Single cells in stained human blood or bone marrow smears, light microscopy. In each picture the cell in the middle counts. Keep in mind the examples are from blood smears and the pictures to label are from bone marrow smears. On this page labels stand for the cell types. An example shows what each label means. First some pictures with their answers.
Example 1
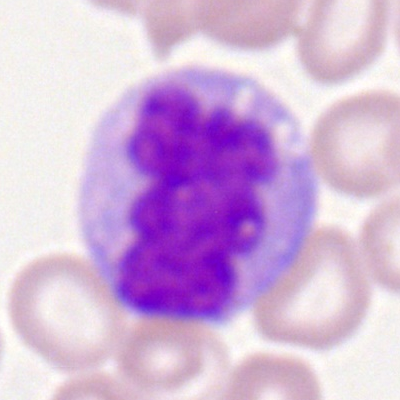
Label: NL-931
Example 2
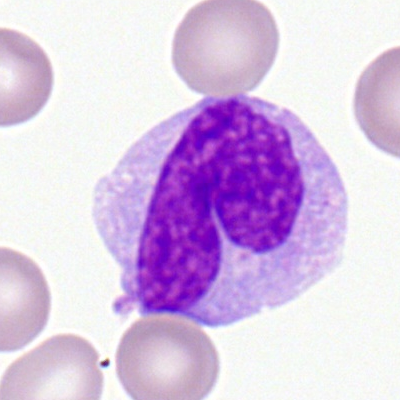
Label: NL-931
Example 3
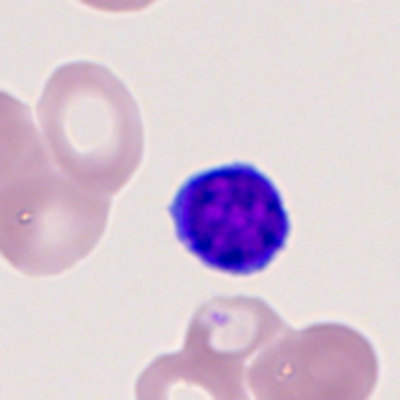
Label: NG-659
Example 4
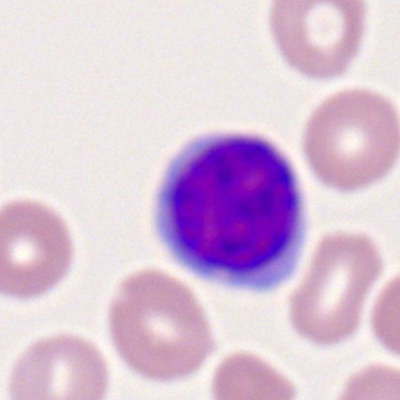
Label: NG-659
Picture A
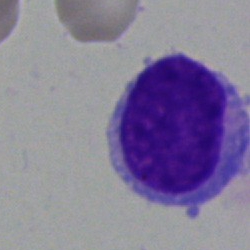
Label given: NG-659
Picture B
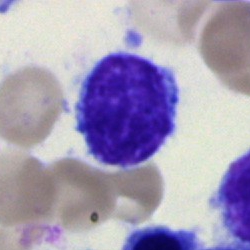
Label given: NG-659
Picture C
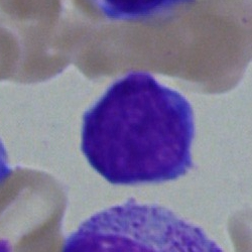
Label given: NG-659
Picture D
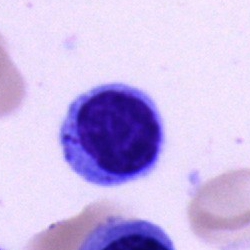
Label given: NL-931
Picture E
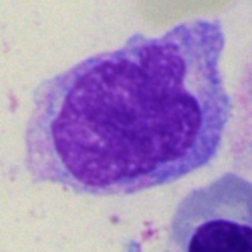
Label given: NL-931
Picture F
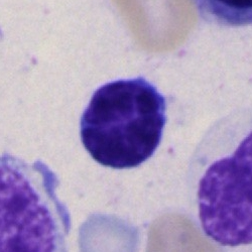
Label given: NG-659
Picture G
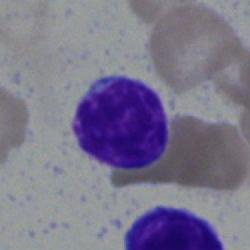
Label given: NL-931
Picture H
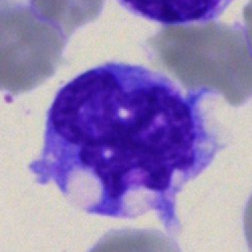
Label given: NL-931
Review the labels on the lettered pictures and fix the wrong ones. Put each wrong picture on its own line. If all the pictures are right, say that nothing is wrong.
Wrong: D (NL-931); correct: NG-659
Wrong: G (NL-931); correct: NG-659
